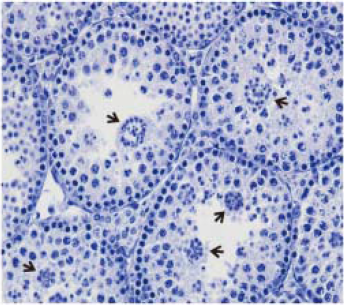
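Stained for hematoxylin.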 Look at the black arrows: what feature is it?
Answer: Round spermatid clusters.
